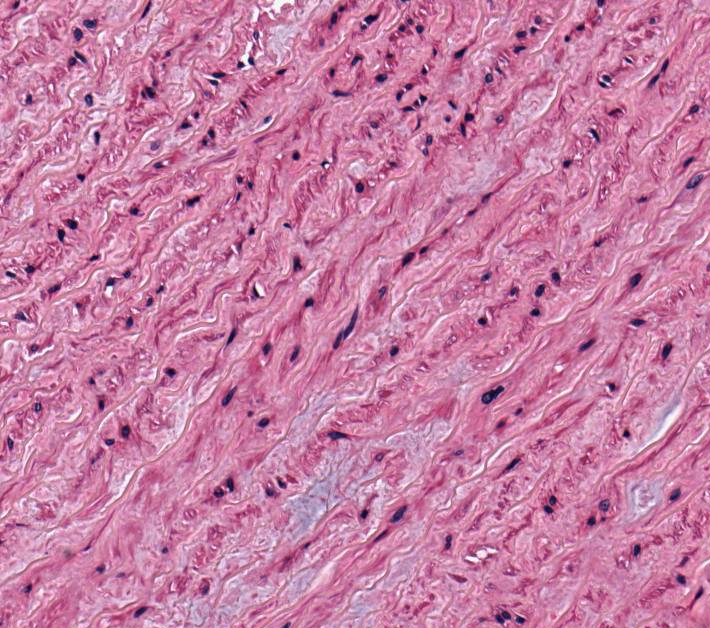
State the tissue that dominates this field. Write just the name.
tunica media of an artery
